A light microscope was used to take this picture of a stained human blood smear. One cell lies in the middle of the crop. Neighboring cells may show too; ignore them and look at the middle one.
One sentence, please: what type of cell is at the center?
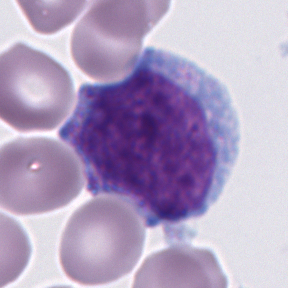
What the crop centres on is a promyelocyte.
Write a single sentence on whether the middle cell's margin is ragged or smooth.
Rather than running smoothly, the cell border is ragged or carries projections.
